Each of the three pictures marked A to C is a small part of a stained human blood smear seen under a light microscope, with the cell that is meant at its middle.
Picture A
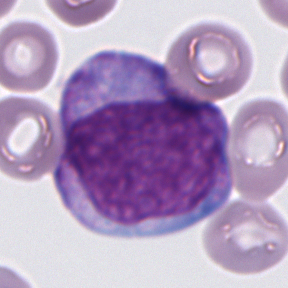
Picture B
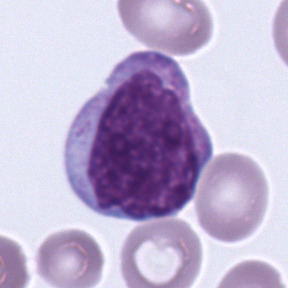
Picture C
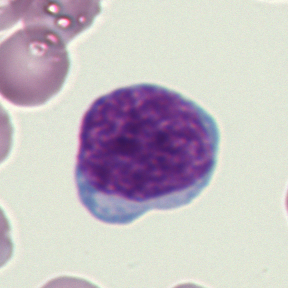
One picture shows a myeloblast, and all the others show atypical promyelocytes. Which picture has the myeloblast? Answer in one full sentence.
It is picture C that shows the myeloblast.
